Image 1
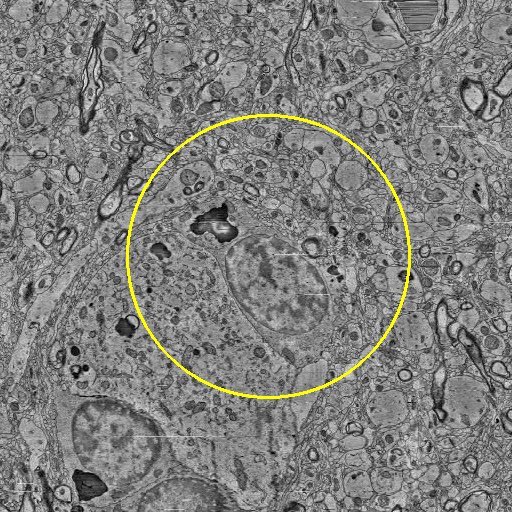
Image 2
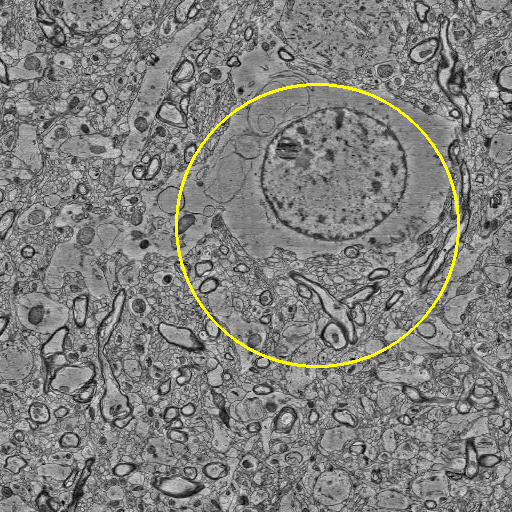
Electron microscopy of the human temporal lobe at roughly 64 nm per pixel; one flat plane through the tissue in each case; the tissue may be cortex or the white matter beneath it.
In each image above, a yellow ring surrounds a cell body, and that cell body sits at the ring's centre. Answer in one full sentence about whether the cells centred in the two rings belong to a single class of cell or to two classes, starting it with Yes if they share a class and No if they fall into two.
No, the cells centred in the two yellow rings belong to two classes of cell.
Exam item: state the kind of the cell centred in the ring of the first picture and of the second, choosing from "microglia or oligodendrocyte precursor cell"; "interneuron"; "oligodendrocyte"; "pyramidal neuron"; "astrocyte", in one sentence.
The first picture shows an oligodendrocyte at the ring centre and the second shows an astrocyte.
